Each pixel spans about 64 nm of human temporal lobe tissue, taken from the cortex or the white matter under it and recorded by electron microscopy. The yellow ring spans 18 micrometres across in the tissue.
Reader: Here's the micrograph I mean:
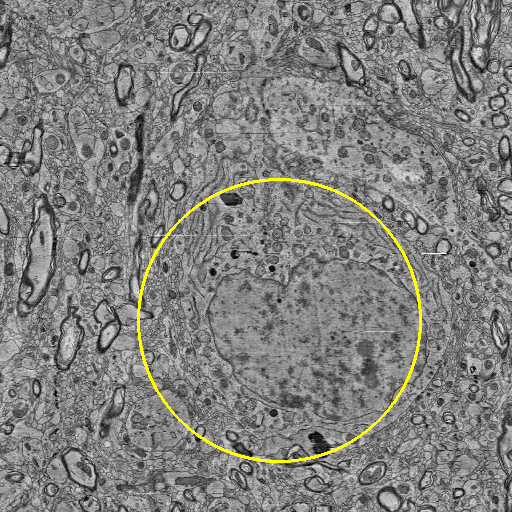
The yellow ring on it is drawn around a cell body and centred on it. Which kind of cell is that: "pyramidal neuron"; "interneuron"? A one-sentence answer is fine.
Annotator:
The ring is centred on an interneuron.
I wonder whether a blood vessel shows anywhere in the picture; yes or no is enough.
No, no vessel appears in the picture.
